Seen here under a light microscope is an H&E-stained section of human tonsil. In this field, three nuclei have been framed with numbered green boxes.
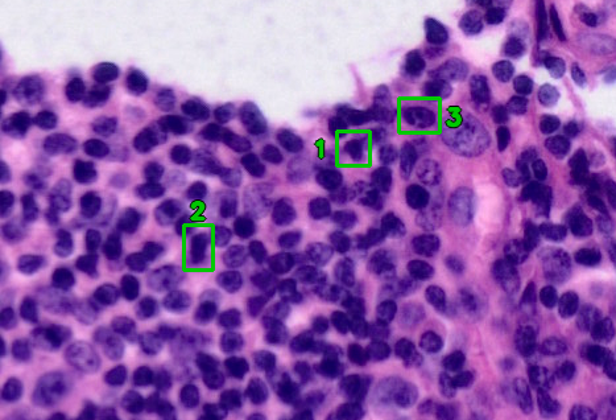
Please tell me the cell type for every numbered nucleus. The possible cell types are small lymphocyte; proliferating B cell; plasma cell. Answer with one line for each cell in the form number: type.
1: small lymphocyte
2: small lymphocyte
3: plasma cell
